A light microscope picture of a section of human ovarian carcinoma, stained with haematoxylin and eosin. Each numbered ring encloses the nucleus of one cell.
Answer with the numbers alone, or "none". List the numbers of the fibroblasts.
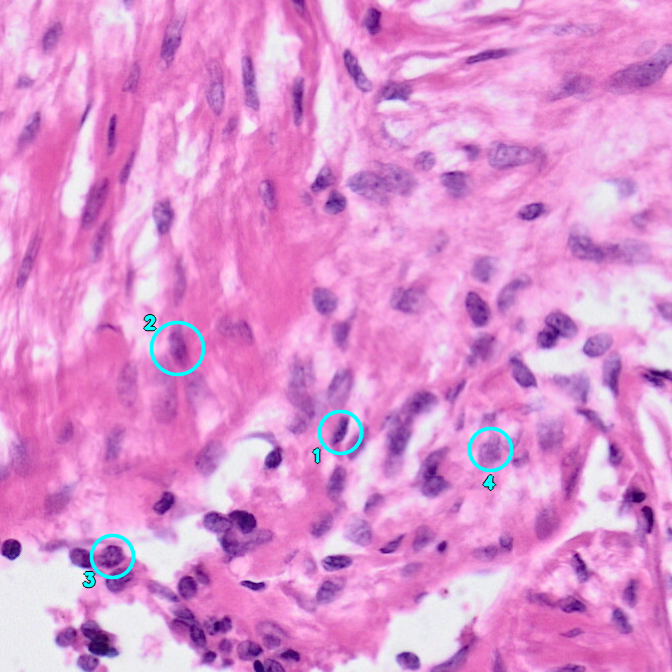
1, 2, 4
